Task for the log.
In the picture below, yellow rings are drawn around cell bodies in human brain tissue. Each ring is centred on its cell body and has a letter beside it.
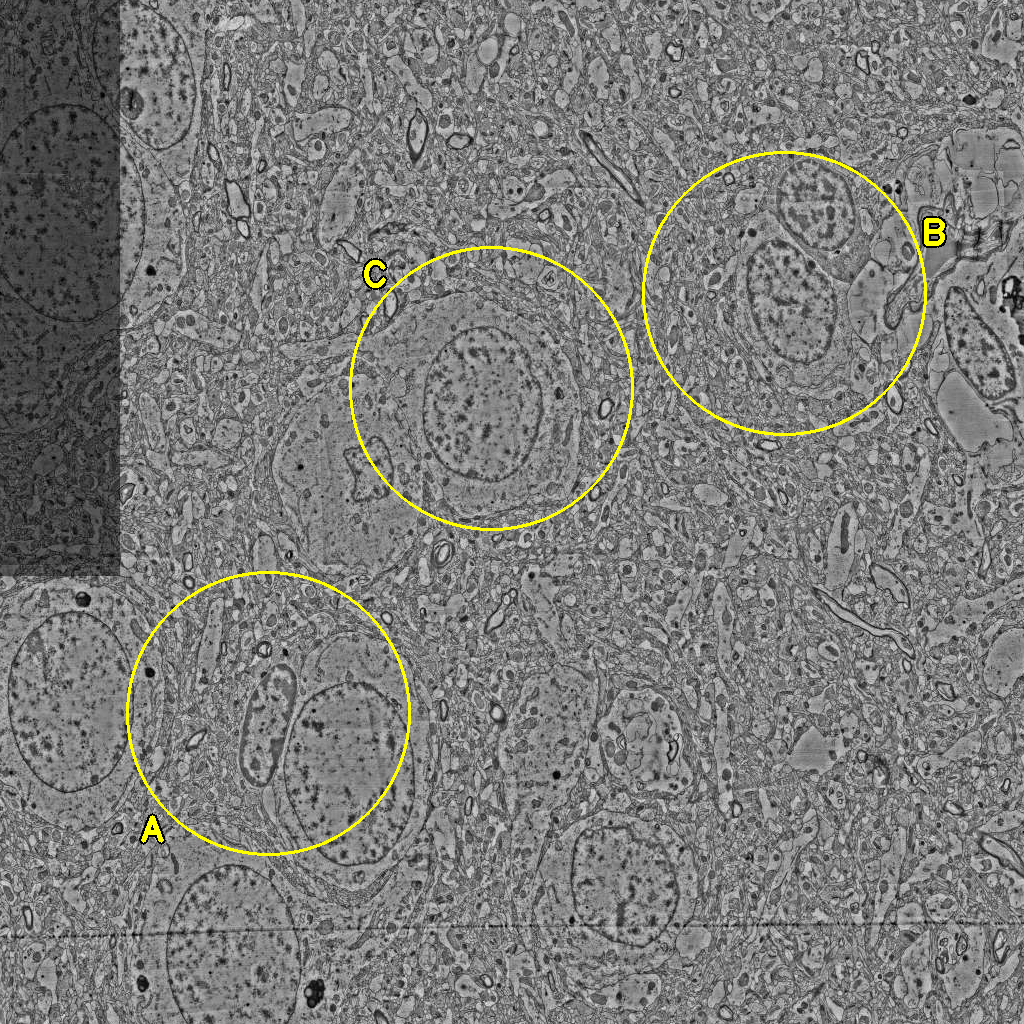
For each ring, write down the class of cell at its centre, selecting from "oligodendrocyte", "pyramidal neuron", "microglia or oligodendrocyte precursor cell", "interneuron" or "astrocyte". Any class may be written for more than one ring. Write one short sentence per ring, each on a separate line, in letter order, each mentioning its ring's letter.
The cell inside ring A, at its centre, is a microglial cell or oligodendrocyte precursor cell.
The cell inside ring B, at its centre, is an interneuron.
The cell inside ring C, at its centre, is a pyramidal neuron.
